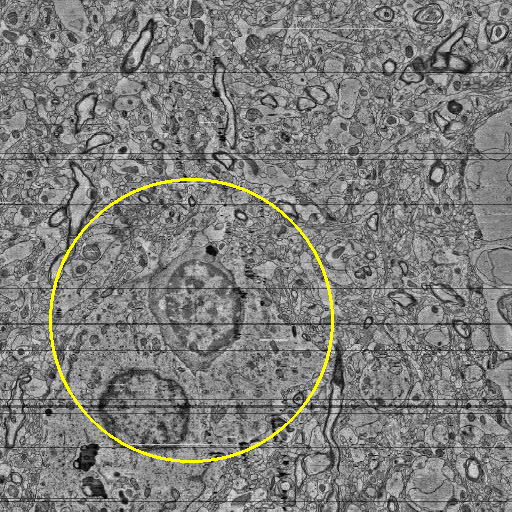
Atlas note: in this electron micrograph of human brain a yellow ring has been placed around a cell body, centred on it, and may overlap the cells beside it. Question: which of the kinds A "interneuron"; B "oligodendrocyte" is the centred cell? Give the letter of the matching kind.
B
